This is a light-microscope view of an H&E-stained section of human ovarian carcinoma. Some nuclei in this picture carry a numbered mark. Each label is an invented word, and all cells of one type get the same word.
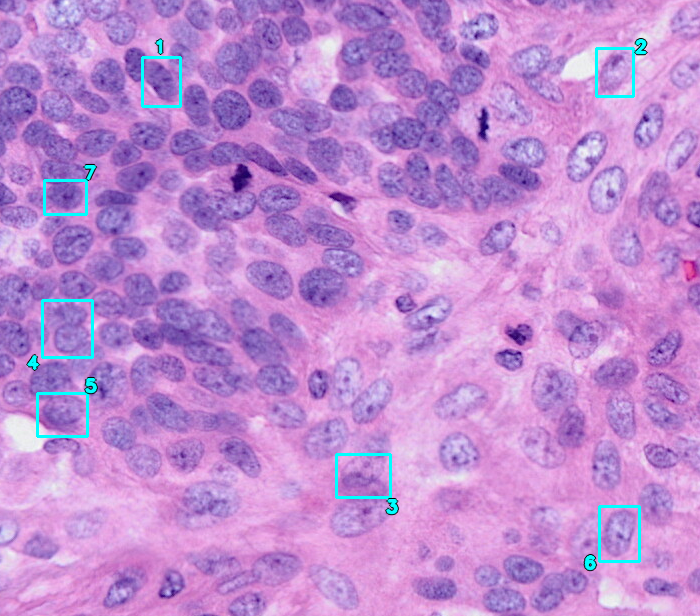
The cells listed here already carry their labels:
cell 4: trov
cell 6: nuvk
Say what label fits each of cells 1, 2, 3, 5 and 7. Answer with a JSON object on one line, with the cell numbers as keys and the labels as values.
{"1": "trov", "2": "nuvk", "3": "nuvk", "5": "trov", "7": "trov"}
